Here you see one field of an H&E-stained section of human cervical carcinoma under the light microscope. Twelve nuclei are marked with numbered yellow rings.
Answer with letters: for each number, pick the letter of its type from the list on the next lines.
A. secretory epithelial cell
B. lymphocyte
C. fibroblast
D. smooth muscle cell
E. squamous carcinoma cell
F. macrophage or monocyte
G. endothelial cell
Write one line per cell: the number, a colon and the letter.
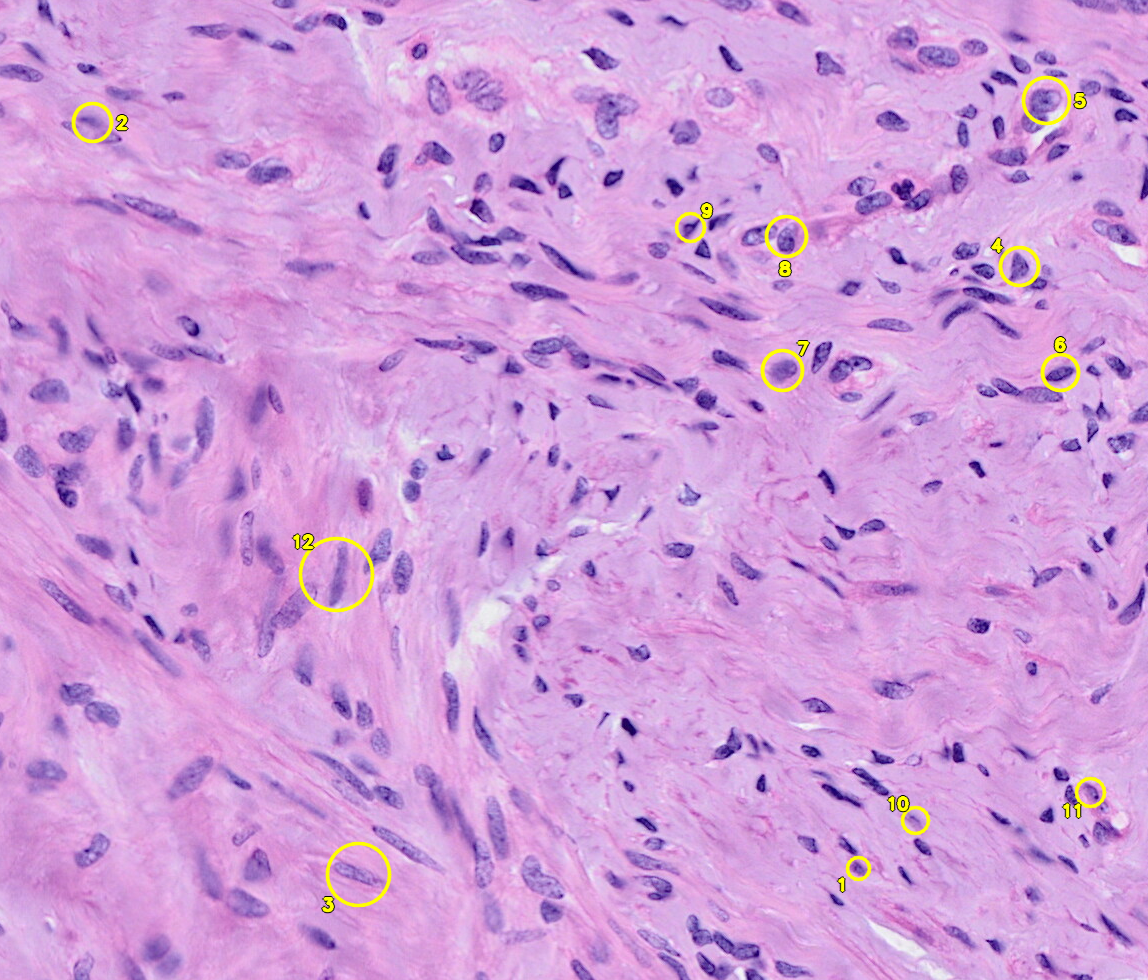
1: D
2: C
3: D
4: C
5: G
6: C
7: C
8: G
9: C
10: C
11: G
12: C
